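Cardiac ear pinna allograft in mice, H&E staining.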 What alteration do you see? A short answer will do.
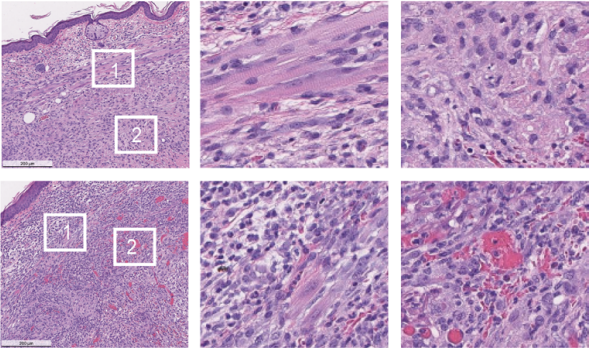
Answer: Cellular infiltrate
